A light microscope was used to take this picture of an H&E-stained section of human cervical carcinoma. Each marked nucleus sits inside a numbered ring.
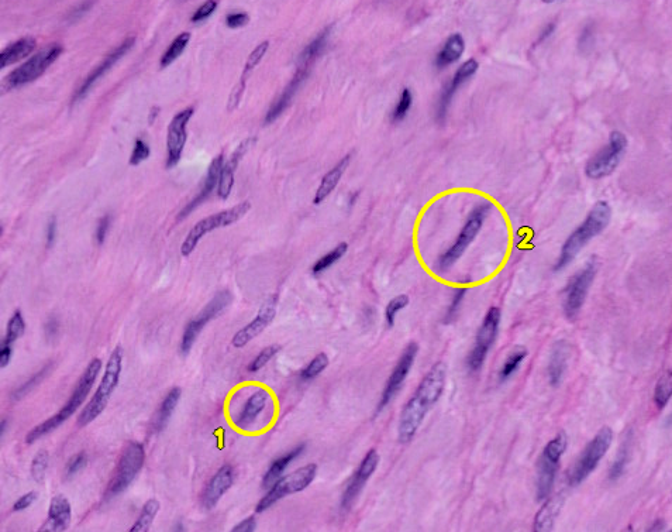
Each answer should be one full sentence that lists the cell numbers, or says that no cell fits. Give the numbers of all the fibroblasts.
Only the cell marked 2 is a fibroblast.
